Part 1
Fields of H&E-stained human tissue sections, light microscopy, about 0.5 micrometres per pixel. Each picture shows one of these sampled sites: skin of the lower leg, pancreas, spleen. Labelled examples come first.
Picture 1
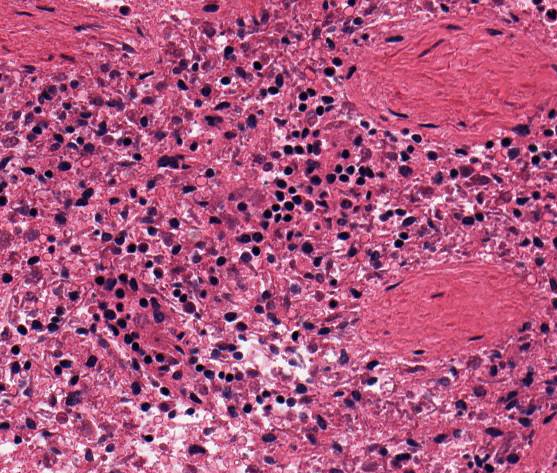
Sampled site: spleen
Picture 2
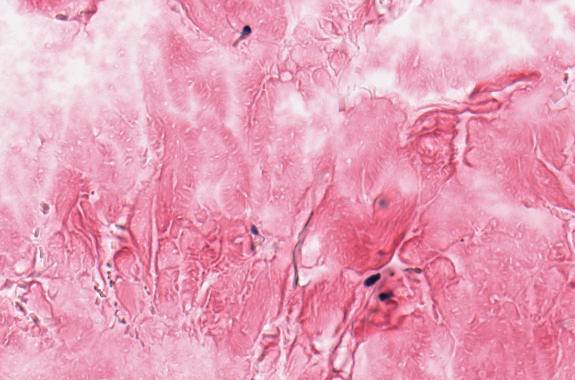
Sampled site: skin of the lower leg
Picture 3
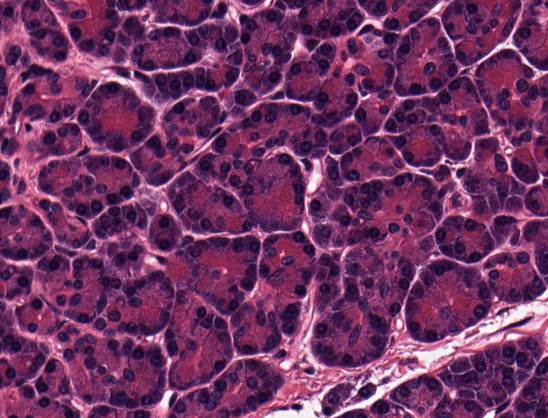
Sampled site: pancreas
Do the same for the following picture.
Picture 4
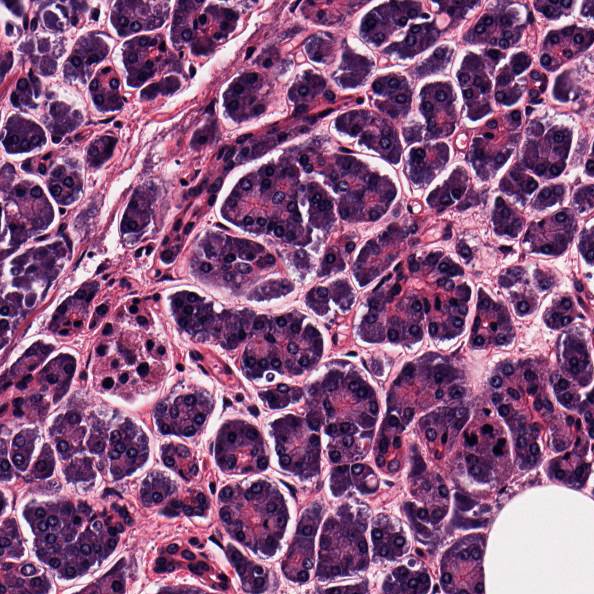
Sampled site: pancreas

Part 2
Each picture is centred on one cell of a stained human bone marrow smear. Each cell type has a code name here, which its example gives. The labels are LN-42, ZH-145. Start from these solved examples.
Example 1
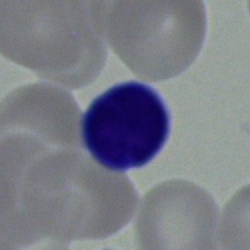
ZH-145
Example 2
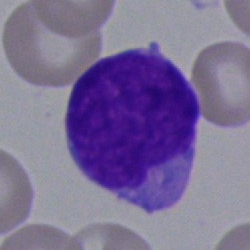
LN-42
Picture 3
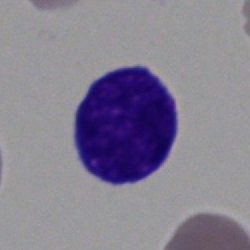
LN-42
